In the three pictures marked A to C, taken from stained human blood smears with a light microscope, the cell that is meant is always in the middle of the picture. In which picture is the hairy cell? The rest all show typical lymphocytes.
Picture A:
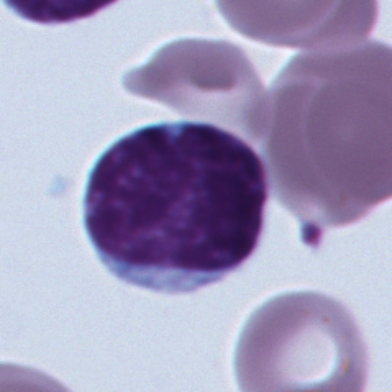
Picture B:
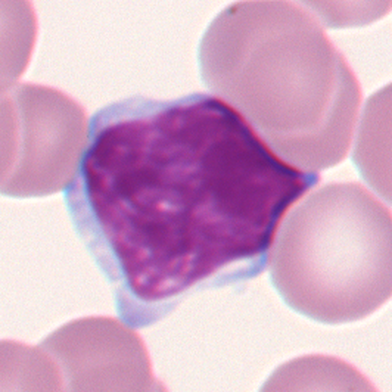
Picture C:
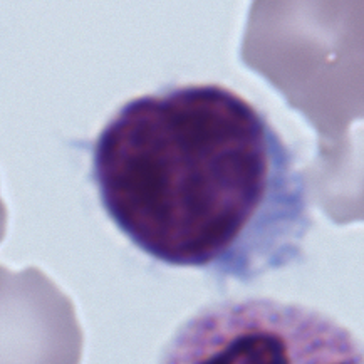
C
